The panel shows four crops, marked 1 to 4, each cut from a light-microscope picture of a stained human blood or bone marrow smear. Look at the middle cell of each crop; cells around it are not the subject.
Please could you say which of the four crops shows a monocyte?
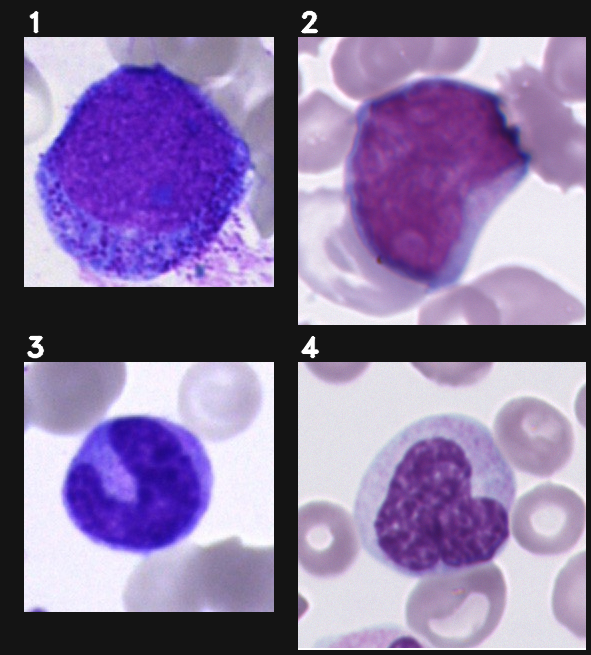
3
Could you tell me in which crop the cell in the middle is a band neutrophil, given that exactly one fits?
4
